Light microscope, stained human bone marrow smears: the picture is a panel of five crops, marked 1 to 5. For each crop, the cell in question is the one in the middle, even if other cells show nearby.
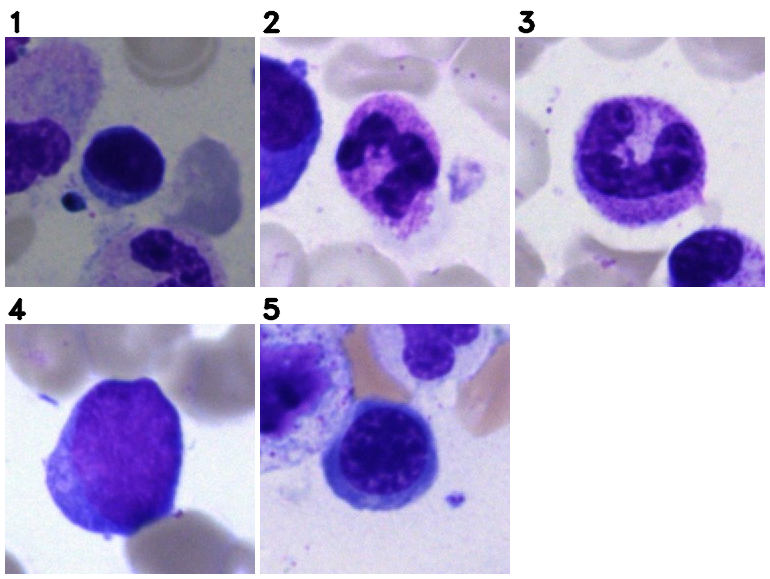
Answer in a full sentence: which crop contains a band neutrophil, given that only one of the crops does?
The cell at the center of crop 3 is the one that is a band neutrophil.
